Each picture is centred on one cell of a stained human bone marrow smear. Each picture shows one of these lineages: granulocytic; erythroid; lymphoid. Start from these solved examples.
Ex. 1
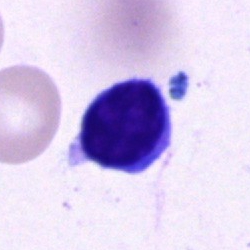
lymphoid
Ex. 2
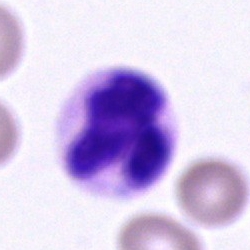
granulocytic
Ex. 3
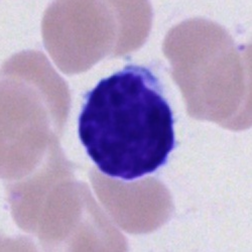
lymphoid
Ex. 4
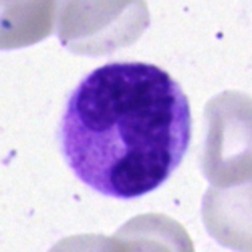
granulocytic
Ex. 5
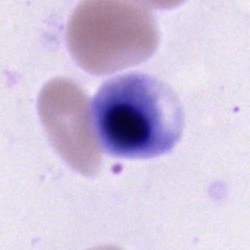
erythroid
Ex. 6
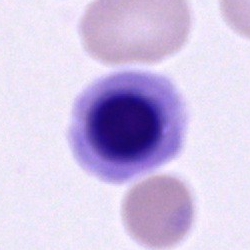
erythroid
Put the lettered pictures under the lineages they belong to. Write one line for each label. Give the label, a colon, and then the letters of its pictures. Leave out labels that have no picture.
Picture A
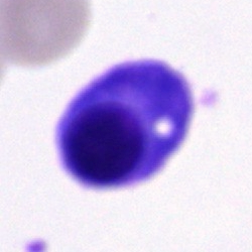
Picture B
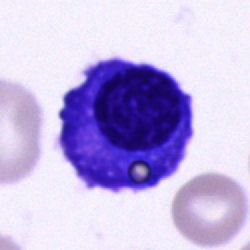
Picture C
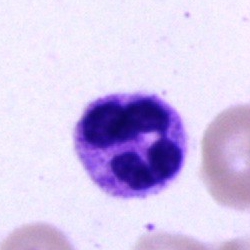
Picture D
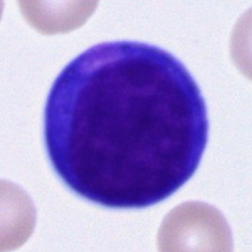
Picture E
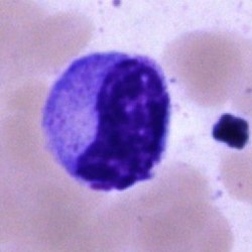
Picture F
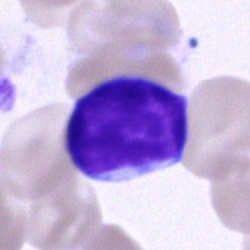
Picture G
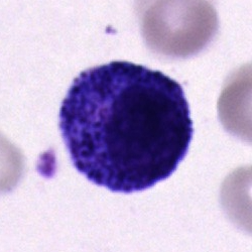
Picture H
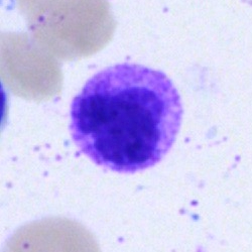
granulocytic: C, E, G, H
erythroid: D
lymphoid: A, B, F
